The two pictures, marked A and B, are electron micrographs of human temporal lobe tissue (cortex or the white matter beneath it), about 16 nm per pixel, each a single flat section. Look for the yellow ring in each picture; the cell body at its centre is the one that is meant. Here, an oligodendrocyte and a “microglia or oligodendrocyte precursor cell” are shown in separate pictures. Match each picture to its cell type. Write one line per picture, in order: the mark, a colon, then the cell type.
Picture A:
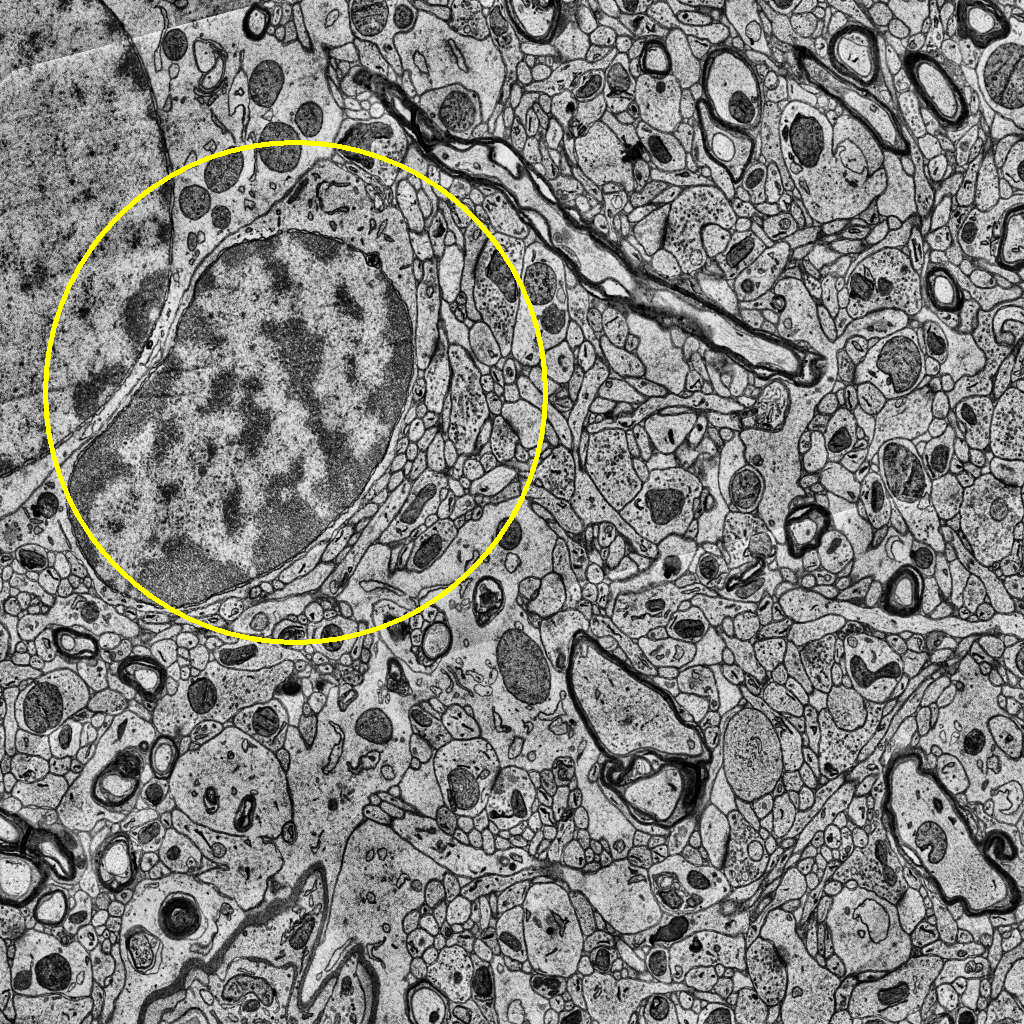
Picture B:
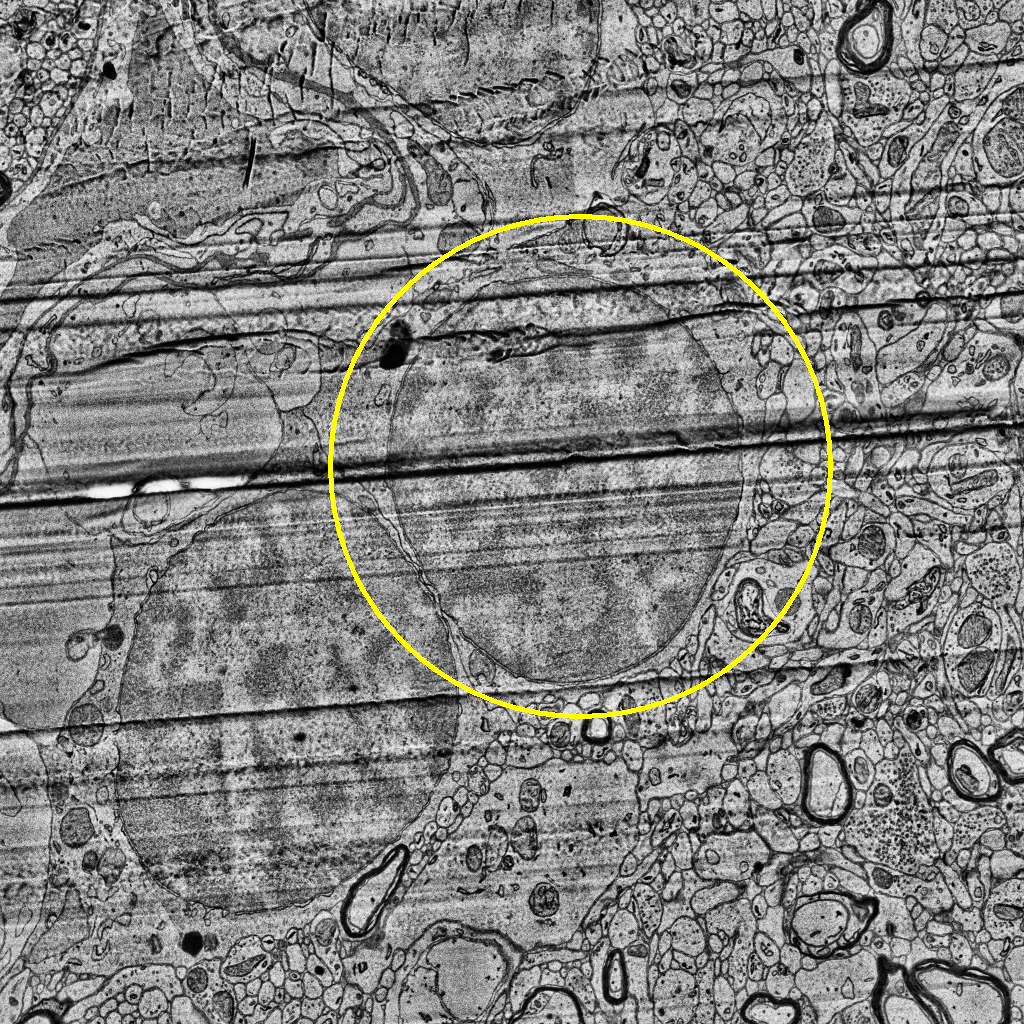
A: microglia or oligodendrocyte precursor cell
B: oligodendrocyte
